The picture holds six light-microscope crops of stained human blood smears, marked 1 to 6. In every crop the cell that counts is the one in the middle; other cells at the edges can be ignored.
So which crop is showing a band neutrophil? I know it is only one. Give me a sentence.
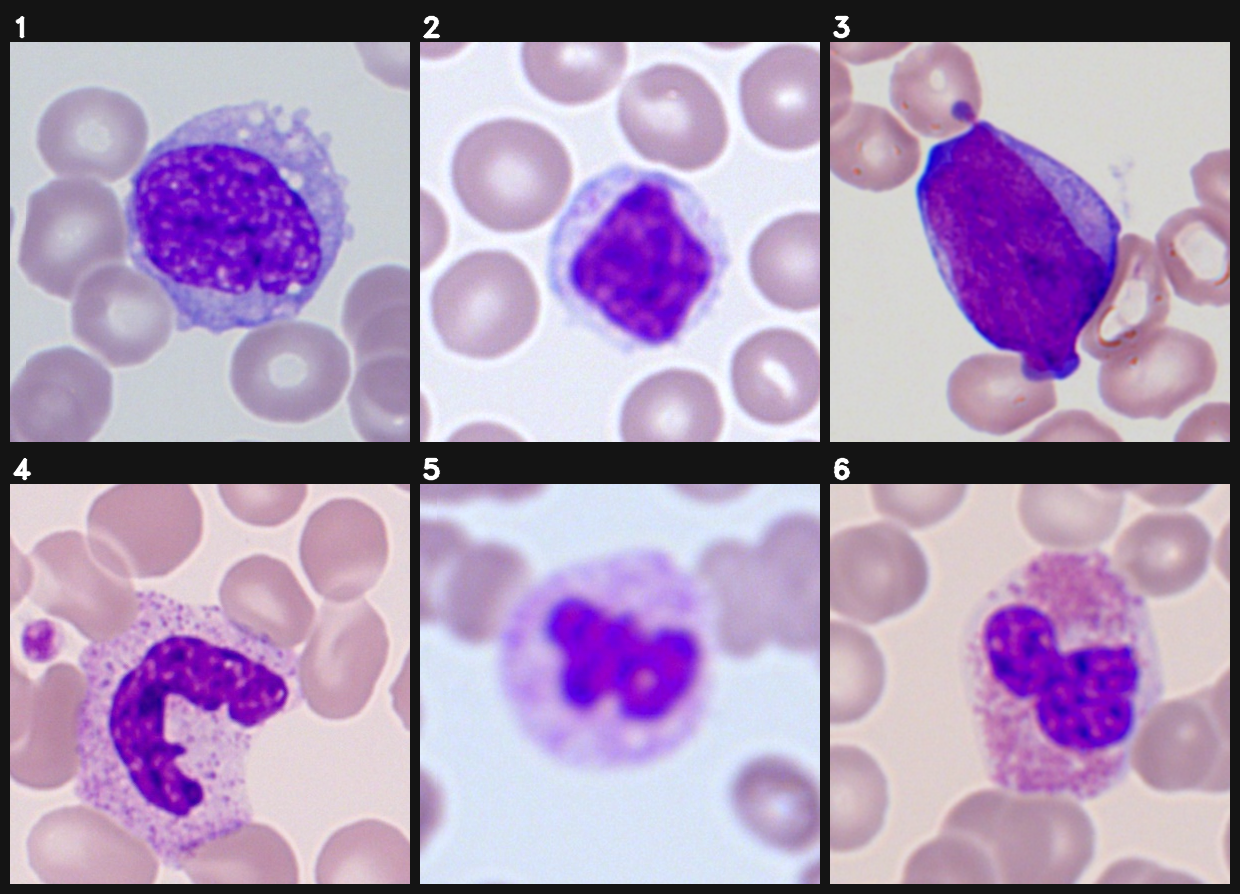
Of the cells presented, the one in crop 4 is a band neutrophil.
